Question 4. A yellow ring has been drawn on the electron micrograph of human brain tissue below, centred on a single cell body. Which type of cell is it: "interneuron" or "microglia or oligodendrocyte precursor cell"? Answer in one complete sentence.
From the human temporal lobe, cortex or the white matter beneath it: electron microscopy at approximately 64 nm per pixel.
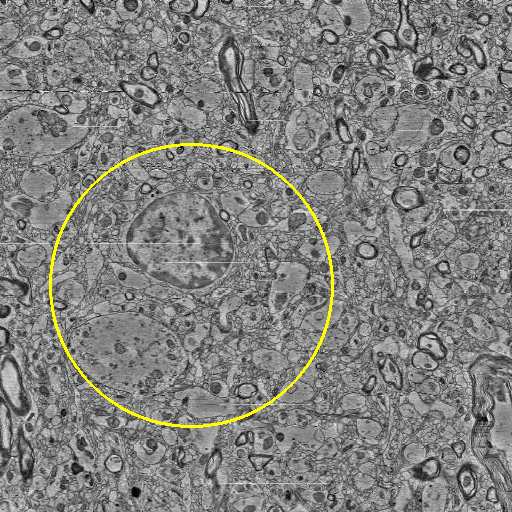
This cell body belongs to a microglial cell or oligodendrocyte precursor cell.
